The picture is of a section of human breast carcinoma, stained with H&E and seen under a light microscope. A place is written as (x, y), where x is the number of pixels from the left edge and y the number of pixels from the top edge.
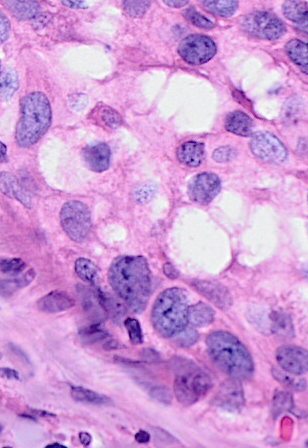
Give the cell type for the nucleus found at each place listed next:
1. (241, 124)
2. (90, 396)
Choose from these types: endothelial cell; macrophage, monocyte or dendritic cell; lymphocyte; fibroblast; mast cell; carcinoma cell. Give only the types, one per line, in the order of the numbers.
carcinoma cell
fibroblast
